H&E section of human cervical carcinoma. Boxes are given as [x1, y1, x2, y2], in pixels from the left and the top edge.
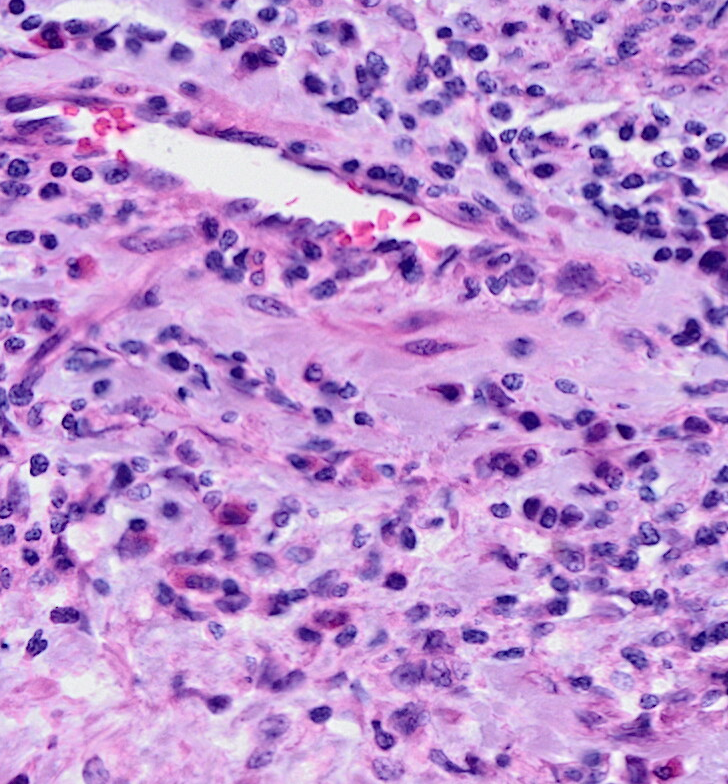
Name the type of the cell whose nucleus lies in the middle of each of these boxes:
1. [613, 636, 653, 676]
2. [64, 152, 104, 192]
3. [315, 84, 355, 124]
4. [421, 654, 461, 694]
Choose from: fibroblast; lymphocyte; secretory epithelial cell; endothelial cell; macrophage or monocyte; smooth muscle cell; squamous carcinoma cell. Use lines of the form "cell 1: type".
cell 1: lymphocyte
cell 2: lymphocyte
cell 3: lymphocyte
cell 4: macrophage or monocyte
